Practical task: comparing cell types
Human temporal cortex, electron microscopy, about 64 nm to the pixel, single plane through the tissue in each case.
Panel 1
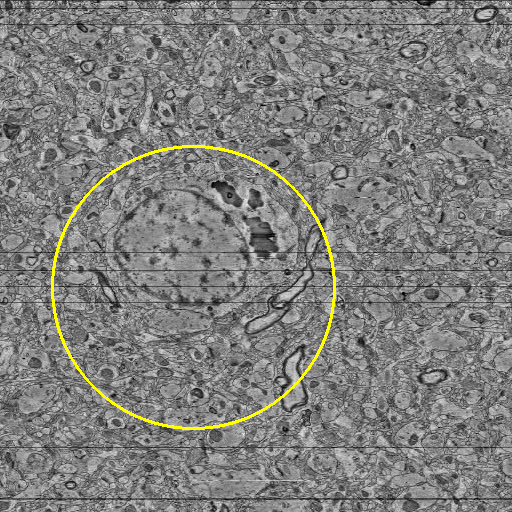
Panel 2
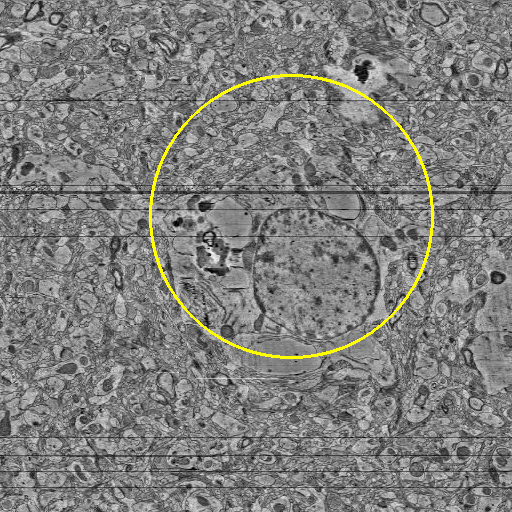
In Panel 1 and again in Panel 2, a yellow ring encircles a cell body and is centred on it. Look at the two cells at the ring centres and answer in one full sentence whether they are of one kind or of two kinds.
The two cells sitting at the ring centres of Panels 1 and 2 are of two kinds.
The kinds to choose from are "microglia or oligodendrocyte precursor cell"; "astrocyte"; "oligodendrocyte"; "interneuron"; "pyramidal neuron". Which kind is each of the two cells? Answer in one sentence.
Of the two, the first cell is an interneuron and the second cell is an astrocyte.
